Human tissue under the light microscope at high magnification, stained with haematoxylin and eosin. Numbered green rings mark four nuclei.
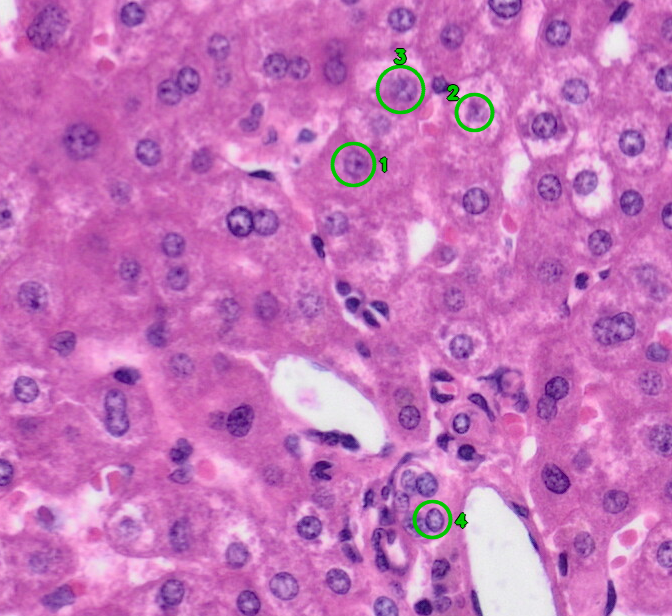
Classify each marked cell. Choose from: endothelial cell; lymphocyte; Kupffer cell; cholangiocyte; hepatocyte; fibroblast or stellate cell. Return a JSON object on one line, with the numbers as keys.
{"1": "hepatocyte", "2": "hepatocyte", "3": "hepatocyte", "4": "cholangiocyte"}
